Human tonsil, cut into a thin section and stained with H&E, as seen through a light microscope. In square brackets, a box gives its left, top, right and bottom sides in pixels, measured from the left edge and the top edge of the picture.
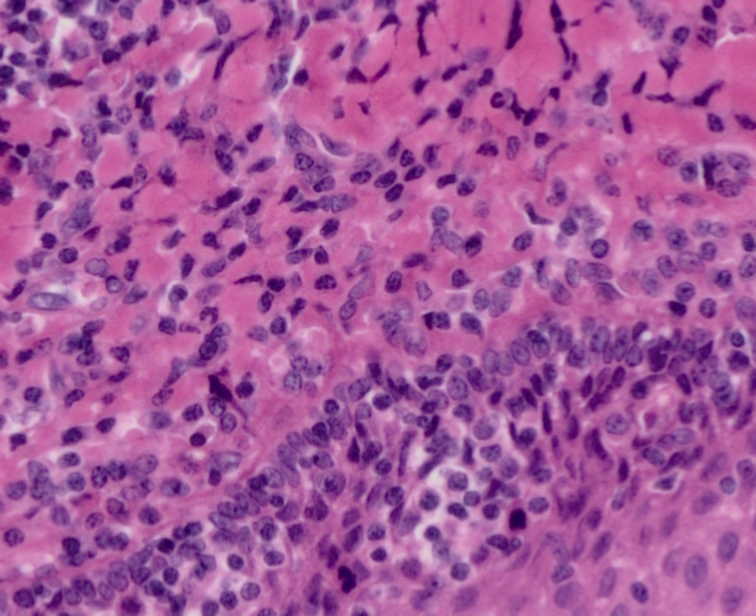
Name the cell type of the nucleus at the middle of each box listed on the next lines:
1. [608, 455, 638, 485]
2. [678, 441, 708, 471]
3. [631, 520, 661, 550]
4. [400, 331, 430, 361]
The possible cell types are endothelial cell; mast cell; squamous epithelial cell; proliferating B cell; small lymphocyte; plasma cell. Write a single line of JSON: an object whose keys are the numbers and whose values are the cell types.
{"1": "squamous epithelial cell", "2": "squamous epithelial cell", "3": "squamous epithelial cell", "4": "endothelial cell"}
